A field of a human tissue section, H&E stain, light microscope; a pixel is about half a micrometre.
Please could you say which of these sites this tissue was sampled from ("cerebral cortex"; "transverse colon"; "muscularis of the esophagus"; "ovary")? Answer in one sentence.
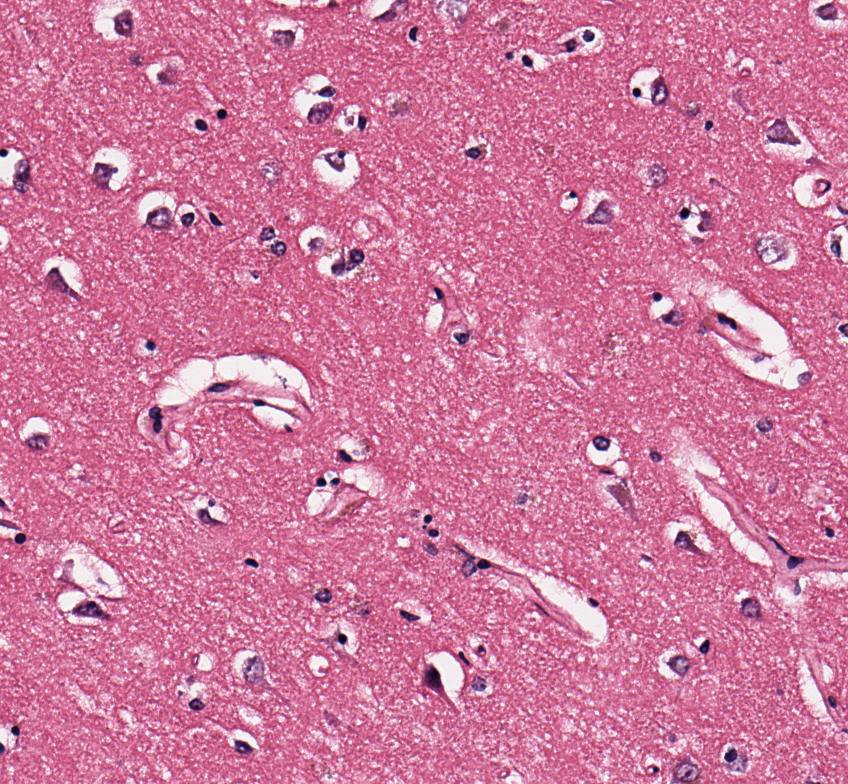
The site this tissue was sampled from is the cerebral cortex.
